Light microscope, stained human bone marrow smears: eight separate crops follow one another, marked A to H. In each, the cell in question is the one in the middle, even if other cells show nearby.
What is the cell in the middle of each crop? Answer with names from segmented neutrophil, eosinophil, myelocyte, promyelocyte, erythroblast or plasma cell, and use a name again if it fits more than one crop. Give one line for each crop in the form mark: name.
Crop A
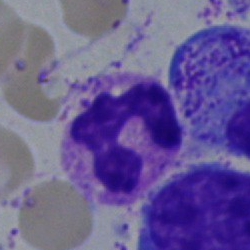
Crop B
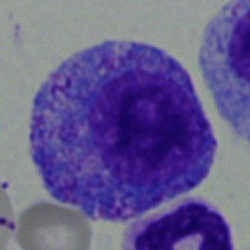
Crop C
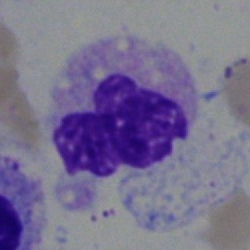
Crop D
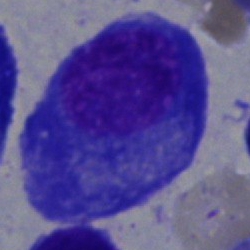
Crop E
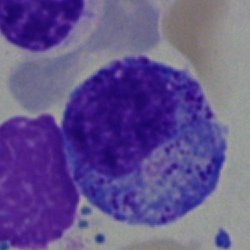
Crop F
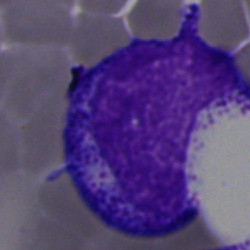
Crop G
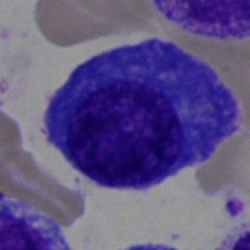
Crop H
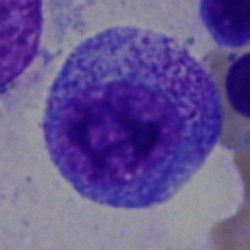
A: segmented neutrophil
B: promyelocyte
C: segmented neutrophil
D: plasma cell
E: myelocyte
F: promyelocyte
G: plasma cell
H: promyelocyte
